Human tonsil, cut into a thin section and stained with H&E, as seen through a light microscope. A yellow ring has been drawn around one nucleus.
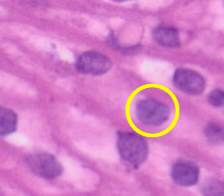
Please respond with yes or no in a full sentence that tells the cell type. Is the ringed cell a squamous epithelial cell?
Yes, to name the ringed cell a squamous epithelial cell is correct.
